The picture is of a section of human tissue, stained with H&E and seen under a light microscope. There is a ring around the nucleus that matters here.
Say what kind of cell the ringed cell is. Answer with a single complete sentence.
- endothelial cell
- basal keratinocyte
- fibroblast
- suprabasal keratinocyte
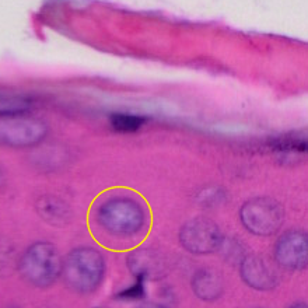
Within the stained tissue, the ringed cell is a suprabasal keratinocyte.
